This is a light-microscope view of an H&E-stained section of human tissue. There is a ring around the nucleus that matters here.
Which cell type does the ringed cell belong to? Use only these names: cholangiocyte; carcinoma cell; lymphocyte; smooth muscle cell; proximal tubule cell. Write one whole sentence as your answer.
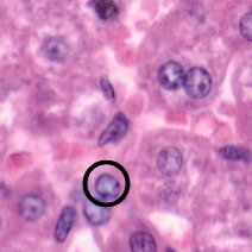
Right, so the ringed cell is a cholangiocyte, to answer that.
